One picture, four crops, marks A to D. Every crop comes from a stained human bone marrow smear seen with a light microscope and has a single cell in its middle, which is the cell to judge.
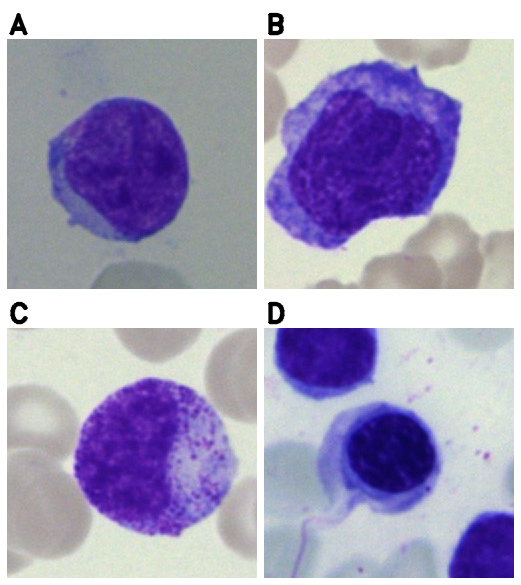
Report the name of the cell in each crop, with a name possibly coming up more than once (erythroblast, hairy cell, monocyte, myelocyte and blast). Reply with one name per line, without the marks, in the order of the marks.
blast
blast
myelocyte
erythroblast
